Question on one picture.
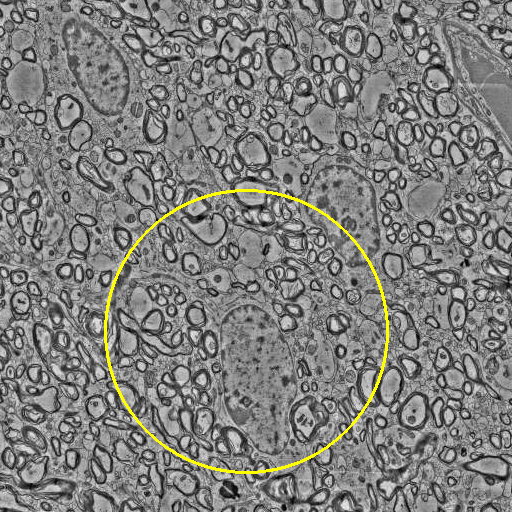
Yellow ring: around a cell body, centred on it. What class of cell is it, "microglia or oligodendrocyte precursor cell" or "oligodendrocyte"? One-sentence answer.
This is a microglial cell or oligodendrocyte precursor cell, the cell the ring is centred on.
